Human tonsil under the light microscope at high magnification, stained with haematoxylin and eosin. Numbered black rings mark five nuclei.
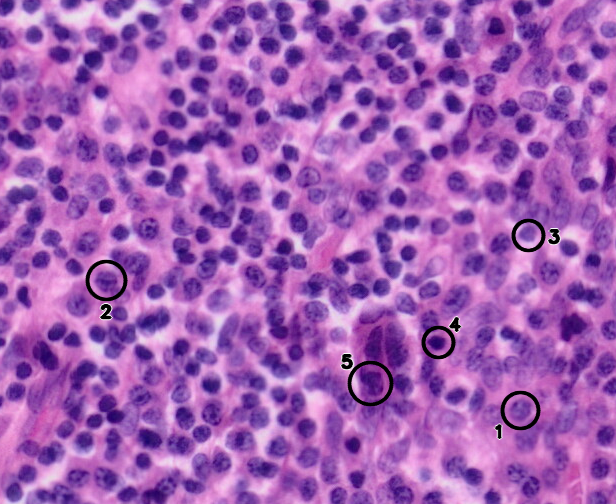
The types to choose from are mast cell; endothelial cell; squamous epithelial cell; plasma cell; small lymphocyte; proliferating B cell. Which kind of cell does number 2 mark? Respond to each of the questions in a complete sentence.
The cell identified by number 2 is a plasma cell.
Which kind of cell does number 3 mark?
The one numbered 3 among the marked cells is a squamous epithelial cell.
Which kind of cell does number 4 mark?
What the number 4 marks in this field is a plasma cell.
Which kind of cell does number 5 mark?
Marked with the number 5, this cell is a squamous epithelial cell.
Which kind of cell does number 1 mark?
The cell whose nucleus carries the number 1 is a plasma cell.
